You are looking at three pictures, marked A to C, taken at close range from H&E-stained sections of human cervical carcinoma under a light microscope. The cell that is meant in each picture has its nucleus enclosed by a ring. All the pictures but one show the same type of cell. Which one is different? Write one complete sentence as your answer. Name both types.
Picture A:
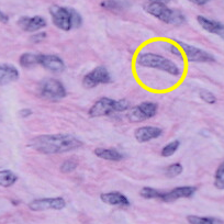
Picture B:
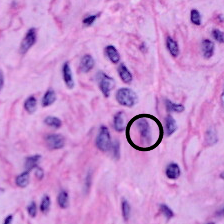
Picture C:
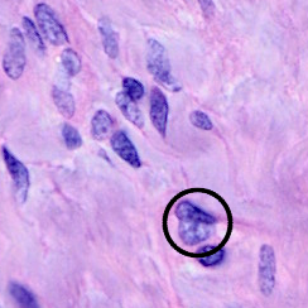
The different one is picture C; it shows an endothelial cell, whereas all the others show smooth muscle cells.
